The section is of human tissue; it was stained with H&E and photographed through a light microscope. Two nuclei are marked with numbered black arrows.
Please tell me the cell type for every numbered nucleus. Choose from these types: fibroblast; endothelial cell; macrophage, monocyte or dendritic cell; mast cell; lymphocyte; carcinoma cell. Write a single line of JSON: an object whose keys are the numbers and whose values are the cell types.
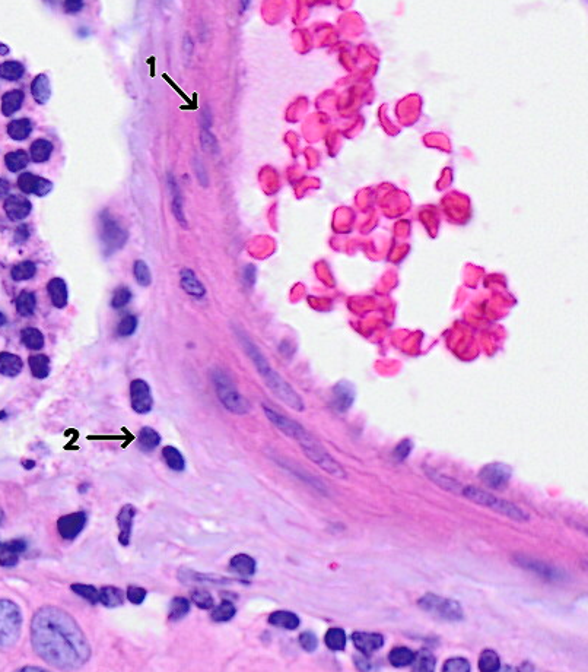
{"1": "endothelial cell", "2": "lymphocyte"}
